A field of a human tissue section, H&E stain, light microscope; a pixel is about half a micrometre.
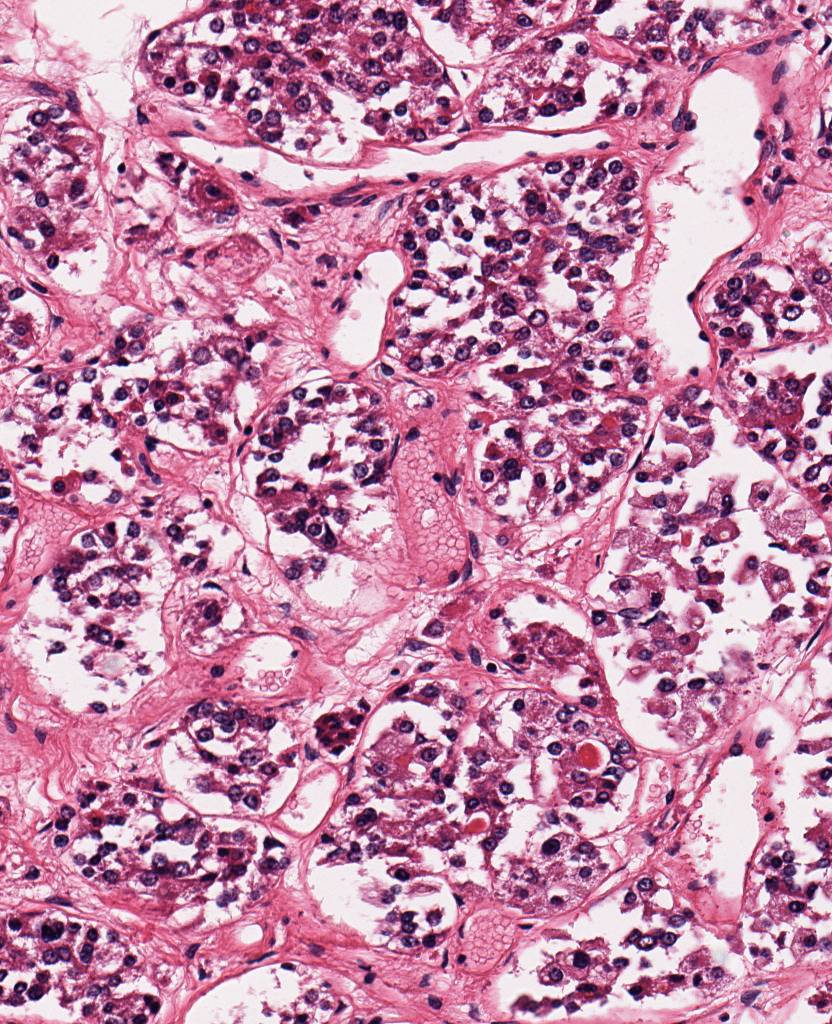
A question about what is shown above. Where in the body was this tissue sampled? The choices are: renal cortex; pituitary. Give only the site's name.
pituitary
